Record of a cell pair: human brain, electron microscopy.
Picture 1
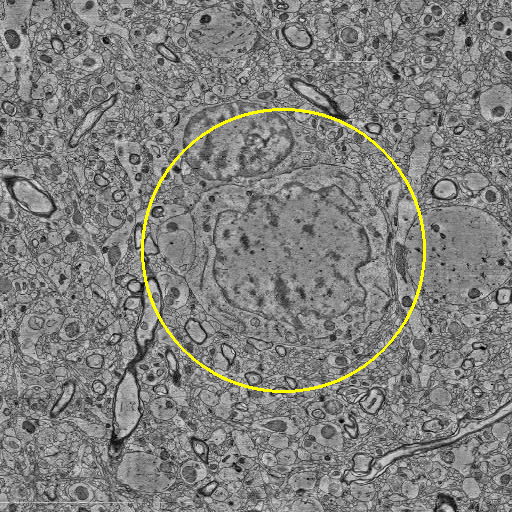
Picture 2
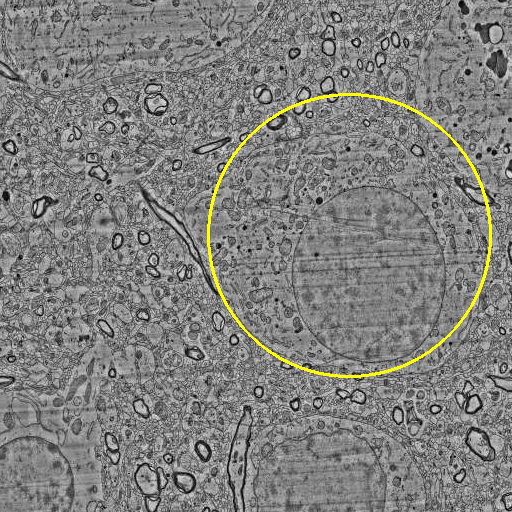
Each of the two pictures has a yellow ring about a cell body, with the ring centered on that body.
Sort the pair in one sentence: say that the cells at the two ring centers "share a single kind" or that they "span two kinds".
The cells centered in the rings of Pictures 1 and 2 share a single kind.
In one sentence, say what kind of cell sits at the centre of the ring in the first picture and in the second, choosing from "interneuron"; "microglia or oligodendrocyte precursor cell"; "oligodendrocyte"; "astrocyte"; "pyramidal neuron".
Each of the two rings is centred on an interneuron.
